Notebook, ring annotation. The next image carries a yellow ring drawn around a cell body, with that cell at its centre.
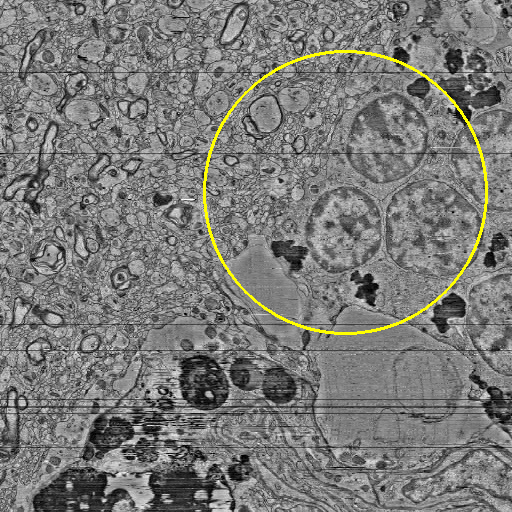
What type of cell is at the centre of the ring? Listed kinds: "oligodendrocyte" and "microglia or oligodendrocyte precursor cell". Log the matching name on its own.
oligodendrocyte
